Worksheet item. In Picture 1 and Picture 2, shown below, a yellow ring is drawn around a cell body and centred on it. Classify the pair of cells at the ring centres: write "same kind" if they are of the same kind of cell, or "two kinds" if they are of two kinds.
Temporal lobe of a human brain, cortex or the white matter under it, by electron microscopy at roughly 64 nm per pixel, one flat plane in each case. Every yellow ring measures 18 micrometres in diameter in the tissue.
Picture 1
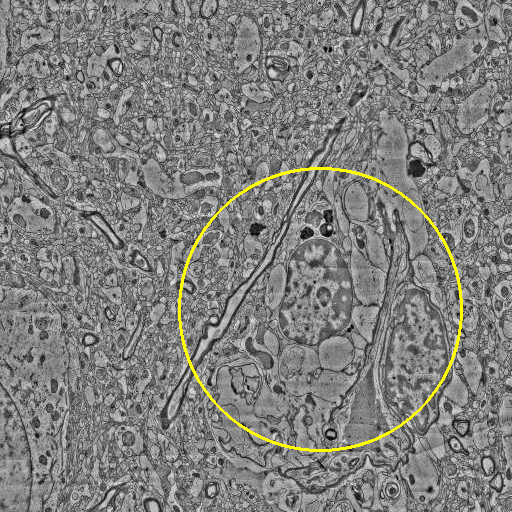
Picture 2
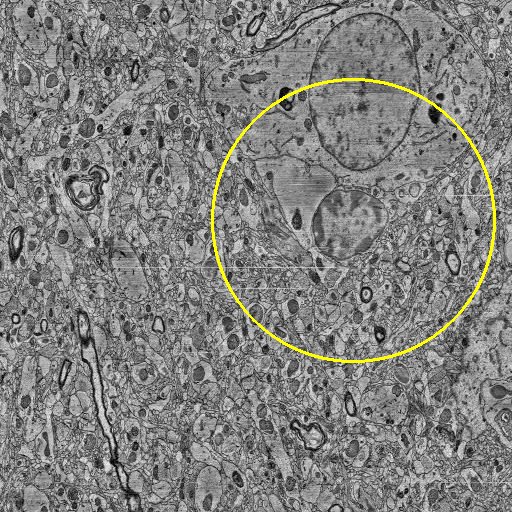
same kind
